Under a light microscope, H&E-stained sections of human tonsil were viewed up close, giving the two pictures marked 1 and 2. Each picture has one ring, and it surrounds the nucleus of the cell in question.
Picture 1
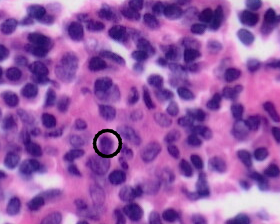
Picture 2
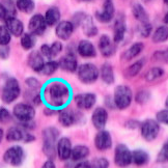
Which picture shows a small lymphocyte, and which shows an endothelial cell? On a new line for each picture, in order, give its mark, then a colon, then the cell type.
1: endothelial cell
2: small lymphocyte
